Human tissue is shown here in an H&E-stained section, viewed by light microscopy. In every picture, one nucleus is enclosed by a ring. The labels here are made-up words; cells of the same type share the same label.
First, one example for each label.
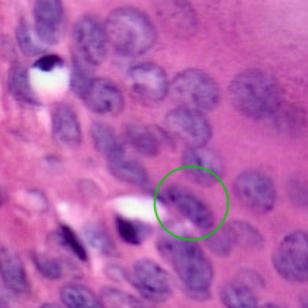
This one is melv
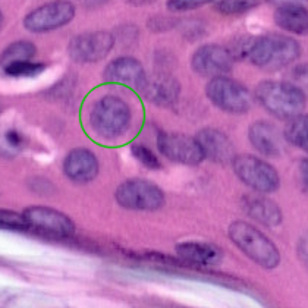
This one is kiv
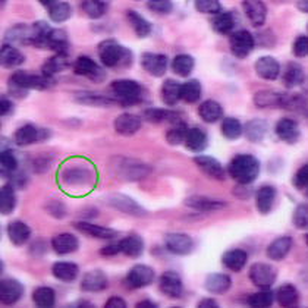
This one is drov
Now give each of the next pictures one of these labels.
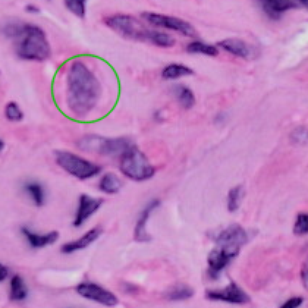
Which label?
drov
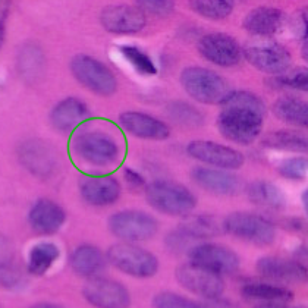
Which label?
kiv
